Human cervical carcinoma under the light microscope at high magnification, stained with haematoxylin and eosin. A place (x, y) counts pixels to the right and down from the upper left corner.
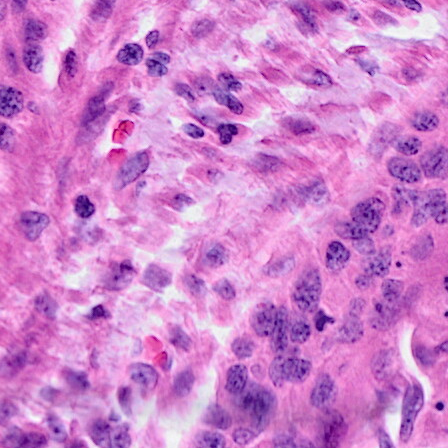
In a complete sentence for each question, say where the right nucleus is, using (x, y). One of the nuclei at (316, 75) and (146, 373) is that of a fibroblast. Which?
Lying within a fibroblast is the nucleus at (316, 75).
